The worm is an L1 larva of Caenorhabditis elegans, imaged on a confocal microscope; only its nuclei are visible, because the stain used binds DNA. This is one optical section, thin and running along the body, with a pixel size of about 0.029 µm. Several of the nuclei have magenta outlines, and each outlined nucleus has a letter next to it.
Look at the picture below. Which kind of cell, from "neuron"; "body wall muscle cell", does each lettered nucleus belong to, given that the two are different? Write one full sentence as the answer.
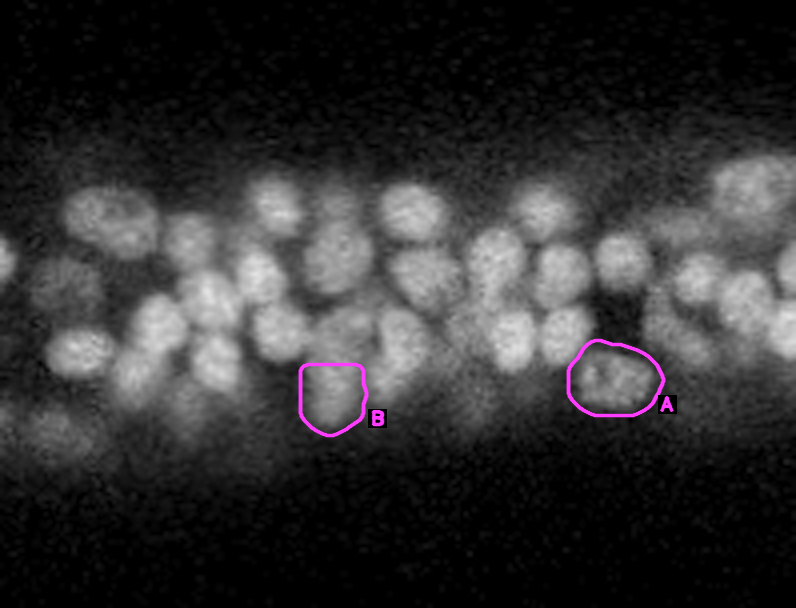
One is from a body wall muscle cell, namely A, and the other, B, is from a neuron.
